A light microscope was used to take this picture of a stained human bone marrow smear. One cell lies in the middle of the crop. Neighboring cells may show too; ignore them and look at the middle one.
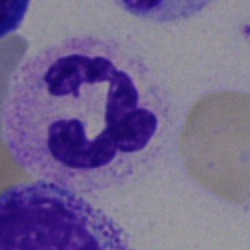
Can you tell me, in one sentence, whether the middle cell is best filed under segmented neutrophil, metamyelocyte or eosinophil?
Answering briefly, the cell in the middle is a segmented neutrophil.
